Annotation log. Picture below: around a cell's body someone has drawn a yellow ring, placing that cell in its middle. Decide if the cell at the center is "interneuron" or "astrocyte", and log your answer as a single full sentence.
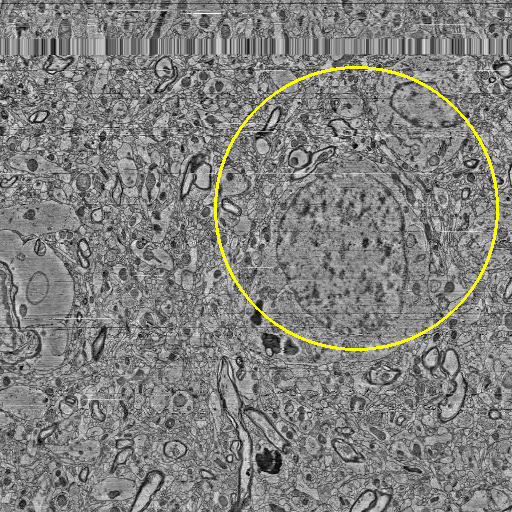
My entry records an interneuron as the cell sitting at the center of the yellow ring.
